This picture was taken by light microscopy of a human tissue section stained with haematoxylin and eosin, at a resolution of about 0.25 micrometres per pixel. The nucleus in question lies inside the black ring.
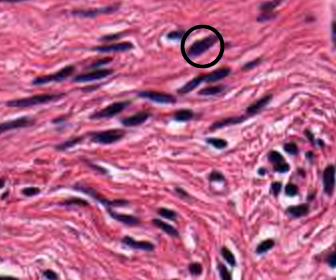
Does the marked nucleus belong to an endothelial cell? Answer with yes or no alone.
no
